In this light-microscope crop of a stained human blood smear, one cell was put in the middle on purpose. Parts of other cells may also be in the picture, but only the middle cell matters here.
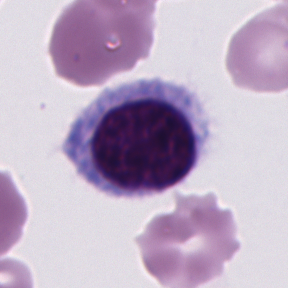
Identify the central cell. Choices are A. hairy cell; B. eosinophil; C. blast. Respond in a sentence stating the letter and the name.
That the central cell is a hairy cell makes option A correct.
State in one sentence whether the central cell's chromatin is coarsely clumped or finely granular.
The nucleus shows chromatin that is coarsely clumped.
